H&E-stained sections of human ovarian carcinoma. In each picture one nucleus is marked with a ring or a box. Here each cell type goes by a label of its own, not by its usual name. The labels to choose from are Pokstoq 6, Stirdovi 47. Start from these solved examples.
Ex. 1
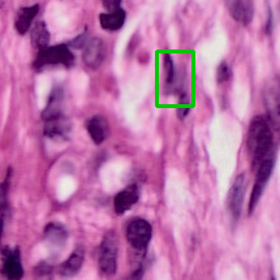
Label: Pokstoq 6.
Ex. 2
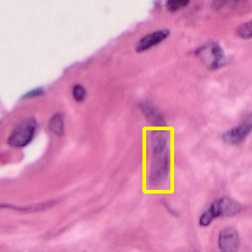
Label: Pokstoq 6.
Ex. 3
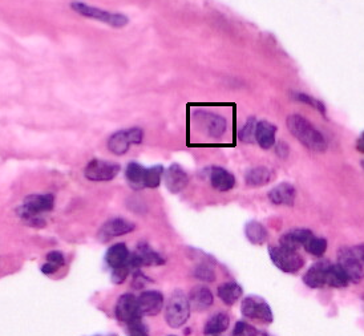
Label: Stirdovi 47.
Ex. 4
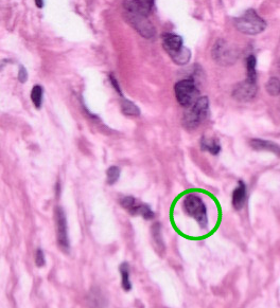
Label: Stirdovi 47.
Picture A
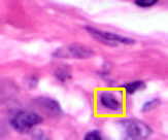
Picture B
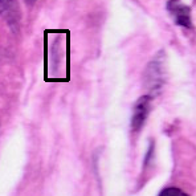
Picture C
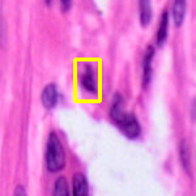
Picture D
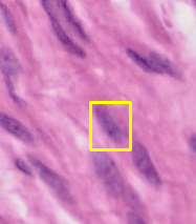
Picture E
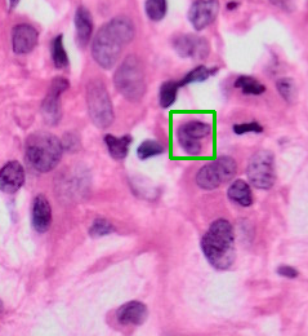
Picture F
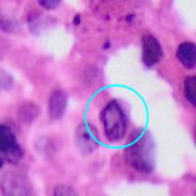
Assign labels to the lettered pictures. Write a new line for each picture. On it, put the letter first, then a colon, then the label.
A: Stirdovi 47.
B: Pokstoq 6.
C: Pokstoq 6.
D: Pokstoq 6.
E: Stirdovi 47.
F: Stirdovi 47.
